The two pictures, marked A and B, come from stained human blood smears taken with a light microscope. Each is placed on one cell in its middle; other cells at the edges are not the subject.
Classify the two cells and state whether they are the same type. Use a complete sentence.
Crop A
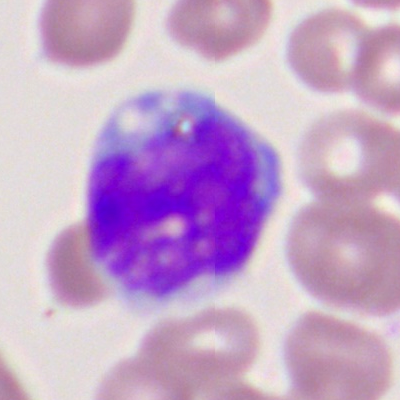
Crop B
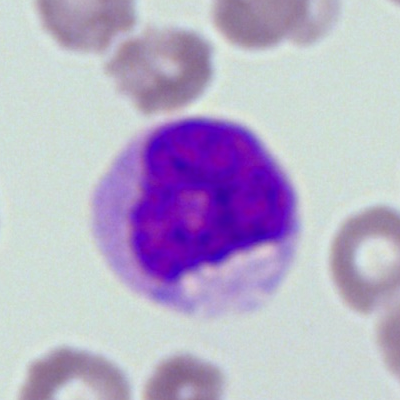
Yes, the middle cells in both crops are indeed monocytes.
